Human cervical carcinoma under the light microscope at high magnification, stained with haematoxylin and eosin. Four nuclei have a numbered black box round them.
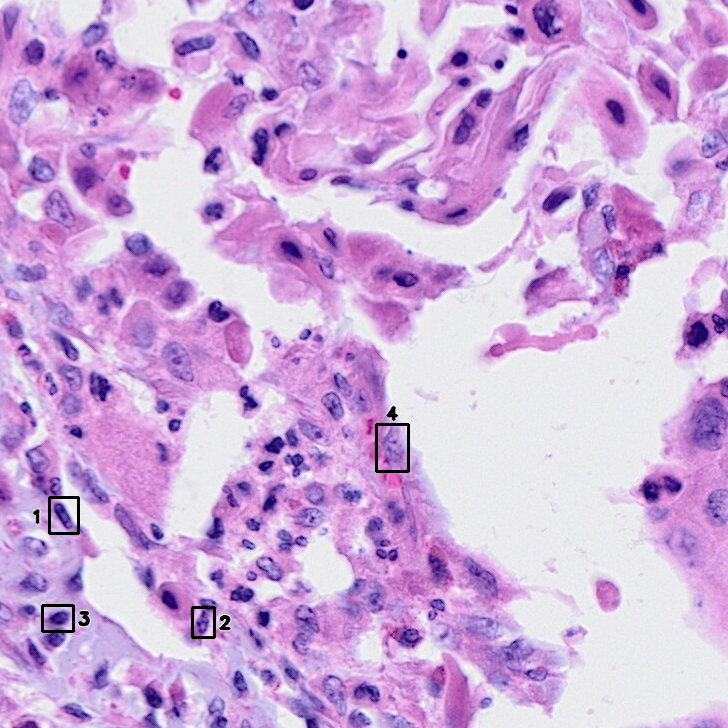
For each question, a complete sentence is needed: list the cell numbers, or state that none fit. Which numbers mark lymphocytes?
Marked by the numbers 1, 2 and 3 are cells that are lymphocytes.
